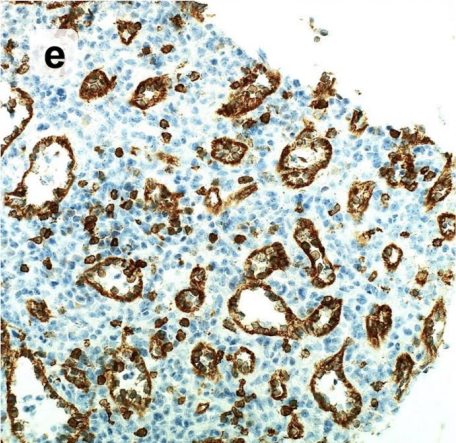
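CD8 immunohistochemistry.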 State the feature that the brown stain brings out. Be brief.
Sinusoid-like vessels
